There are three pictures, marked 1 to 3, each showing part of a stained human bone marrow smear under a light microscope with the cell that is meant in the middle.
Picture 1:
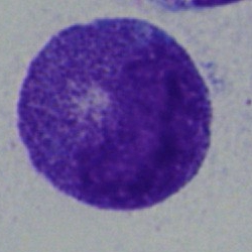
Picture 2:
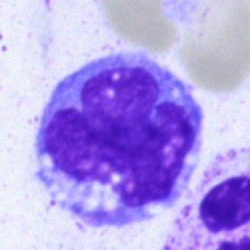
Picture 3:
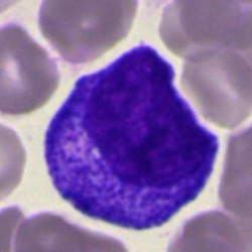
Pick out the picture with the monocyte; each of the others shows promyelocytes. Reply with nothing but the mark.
2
